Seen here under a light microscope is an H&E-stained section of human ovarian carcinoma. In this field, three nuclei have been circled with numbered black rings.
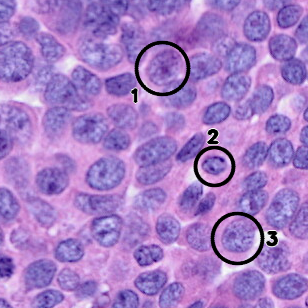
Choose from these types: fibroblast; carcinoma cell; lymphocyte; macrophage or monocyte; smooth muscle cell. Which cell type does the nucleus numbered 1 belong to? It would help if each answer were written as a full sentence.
Among the marked nuclei, number 1 belongs to a carcinoma cell.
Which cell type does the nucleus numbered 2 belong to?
The numbered cell 2 in this field is a macrophage or monocyte.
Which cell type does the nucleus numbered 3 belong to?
The one numbered 3 among the marked cells is a carcinoma cell.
